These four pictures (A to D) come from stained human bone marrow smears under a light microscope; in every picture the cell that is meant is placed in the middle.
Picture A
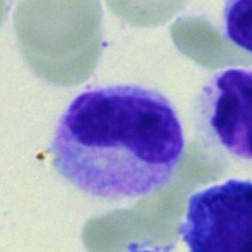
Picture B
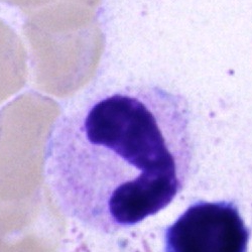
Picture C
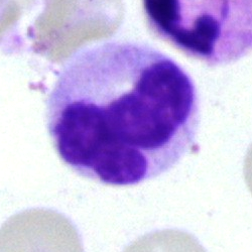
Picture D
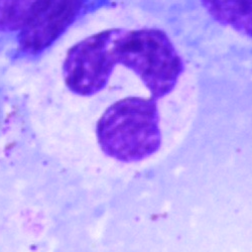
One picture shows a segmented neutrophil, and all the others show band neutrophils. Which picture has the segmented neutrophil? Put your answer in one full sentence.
Picture D shows the segmented neutrophil.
